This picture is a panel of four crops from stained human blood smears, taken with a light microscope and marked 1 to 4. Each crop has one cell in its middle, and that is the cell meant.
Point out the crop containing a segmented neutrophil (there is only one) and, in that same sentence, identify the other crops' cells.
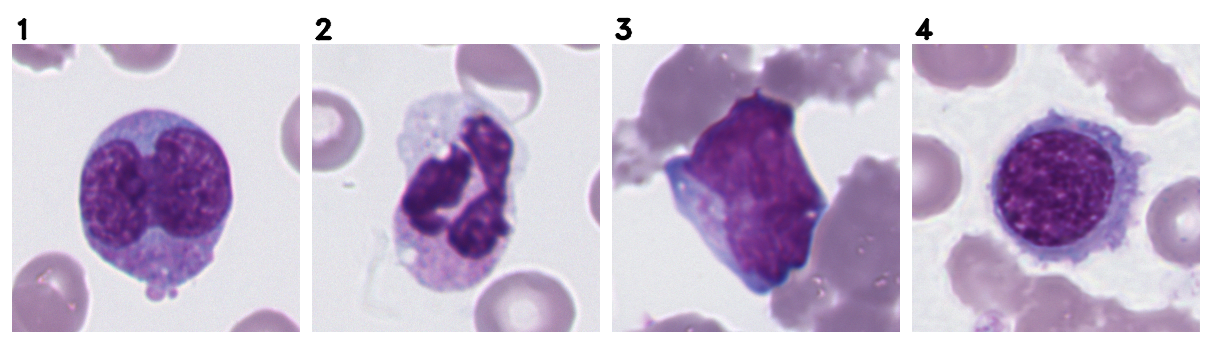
Among these crops, crop 2 shows a segmented neutrophil, while crop 1 is an atypical promyelocyte, crop 3 is a myeloblast and crop 4 is a plasma cell.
